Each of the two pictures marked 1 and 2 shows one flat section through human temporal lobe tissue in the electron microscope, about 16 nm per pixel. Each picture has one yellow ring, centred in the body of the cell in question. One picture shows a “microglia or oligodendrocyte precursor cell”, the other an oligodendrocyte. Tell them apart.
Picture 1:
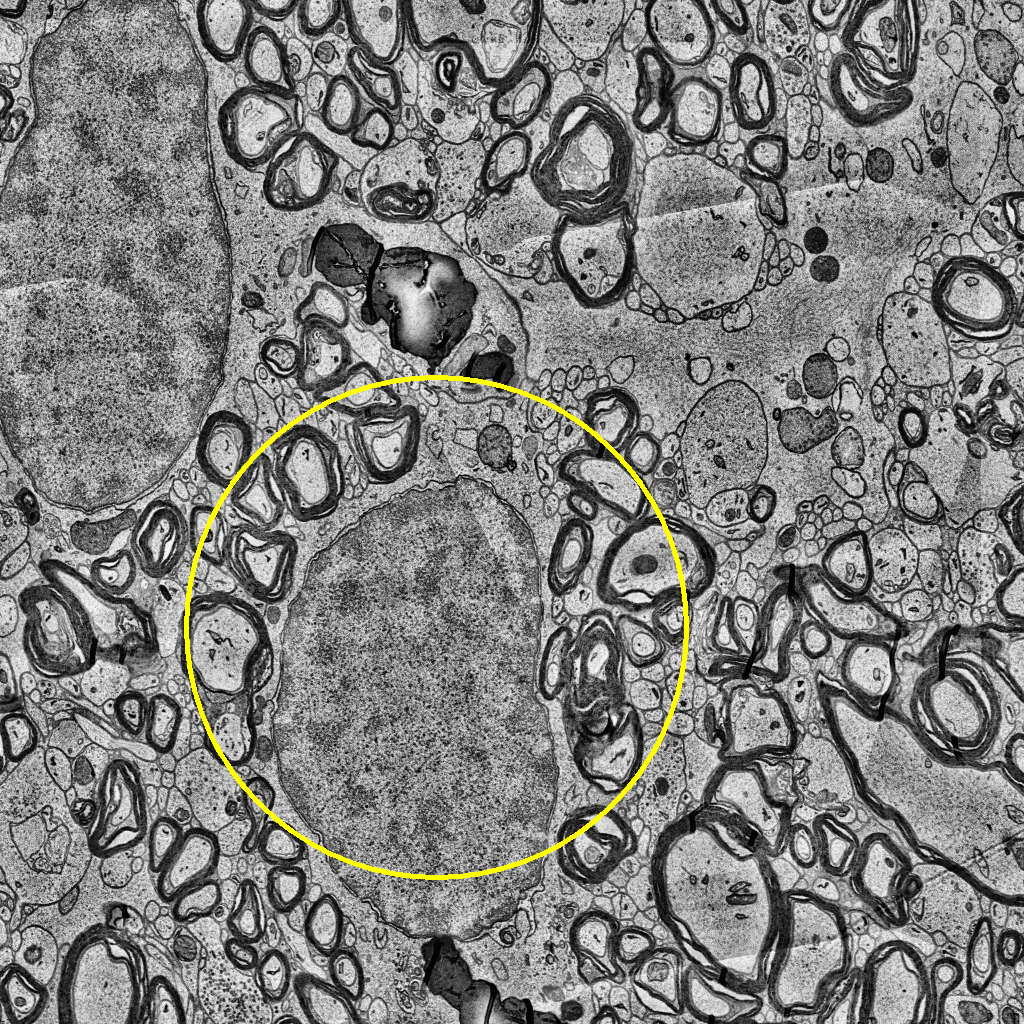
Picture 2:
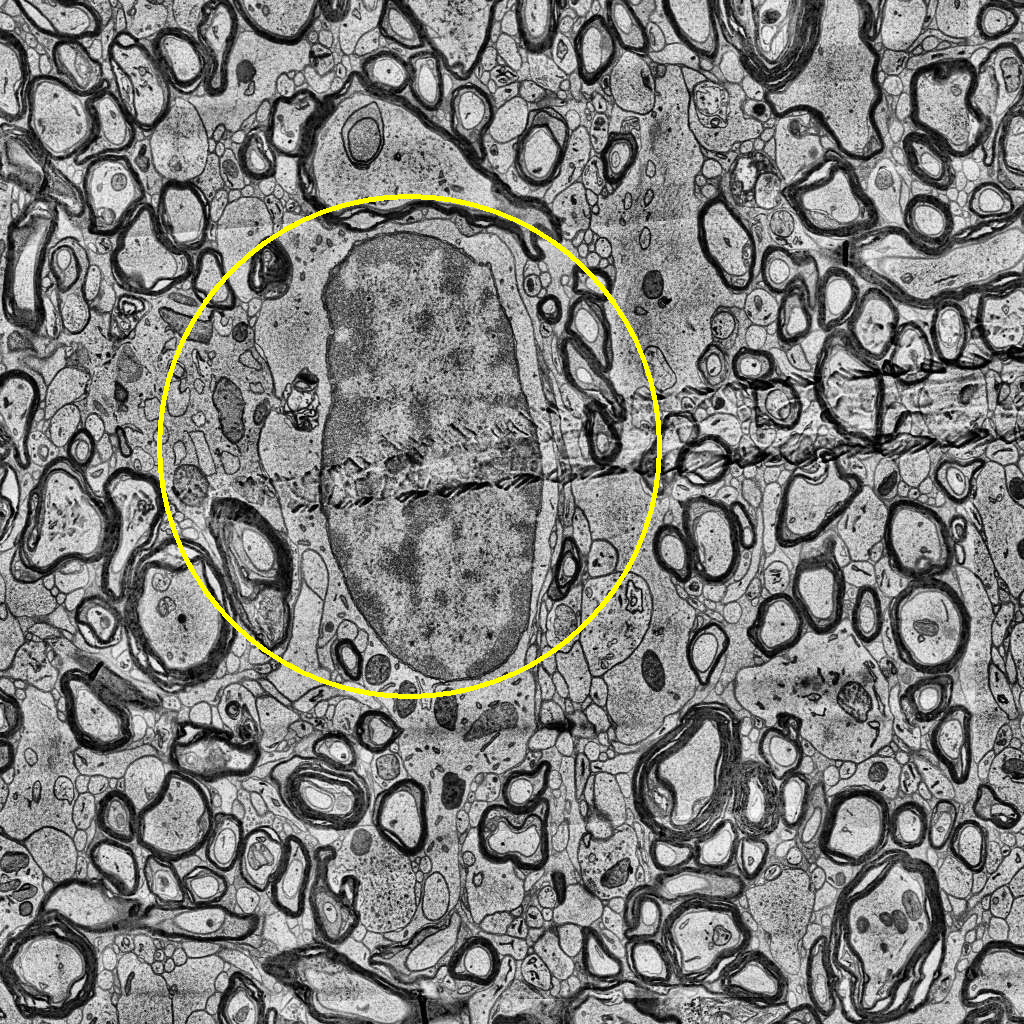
In picture 1 the cell is an oligodendrocyte; in picture 2, a “microglia or oligodendrocyte precursor cell”.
